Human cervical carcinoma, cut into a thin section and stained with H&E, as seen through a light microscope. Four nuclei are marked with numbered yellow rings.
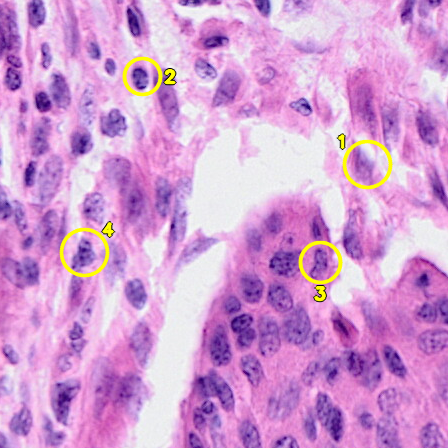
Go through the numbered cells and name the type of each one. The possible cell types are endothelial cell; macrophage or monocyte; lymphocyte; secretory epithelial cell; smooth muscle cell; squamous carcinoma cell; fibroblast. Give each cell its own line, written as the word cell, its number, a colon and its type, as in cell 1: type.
cell 1: fibroblast
cell 2: lymphocyte
cell 3: squamous carcinoma cell
cell 4: lymphocyte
